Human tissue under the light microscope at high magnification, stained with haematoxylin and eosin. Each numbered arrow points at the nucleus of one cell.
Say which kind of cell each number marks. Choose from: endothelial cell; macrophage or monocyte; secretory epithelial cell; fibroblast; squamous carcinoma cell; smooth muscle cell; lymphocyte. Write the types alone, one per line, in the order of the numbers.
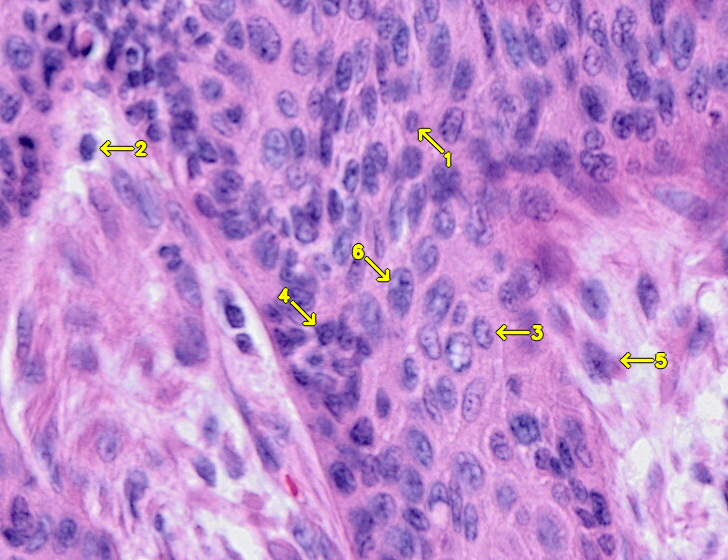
squamous carcinoma cell
lymphocyte
squamous carcinoma cell
squamous carcinoma cell
fibroblast
squamous carcinoma cell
